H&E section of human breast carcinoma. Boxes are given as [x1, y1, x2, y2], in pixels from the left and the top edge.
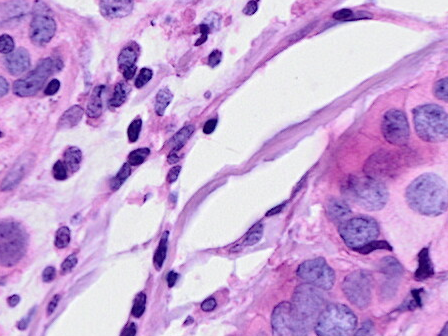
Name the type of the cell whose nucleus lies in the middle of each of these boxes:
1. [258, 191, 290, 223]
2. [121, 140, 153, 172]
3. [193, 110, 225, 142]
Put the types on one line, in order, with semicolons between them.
fibroblast; lymphocyte; lymphocyte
